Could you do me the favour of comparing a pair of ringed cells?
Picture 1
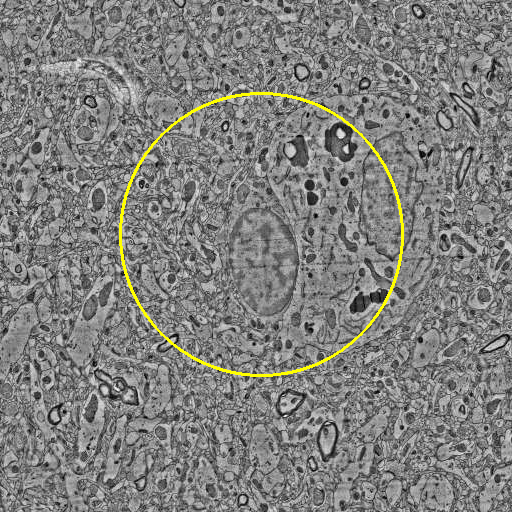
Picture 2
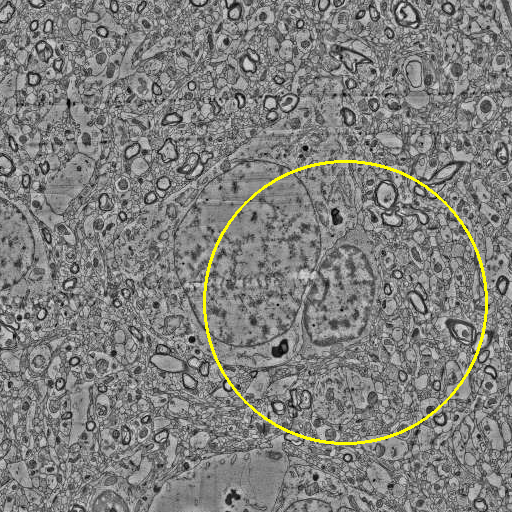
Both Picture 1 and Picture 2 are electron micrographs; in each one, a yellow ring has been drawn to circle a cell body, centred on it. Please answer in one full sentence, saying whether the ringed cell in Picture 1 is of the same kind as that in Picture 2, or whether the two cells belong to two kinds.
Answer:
The ringed cell in Picture 1 is of the same kind as that in Picture 2.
